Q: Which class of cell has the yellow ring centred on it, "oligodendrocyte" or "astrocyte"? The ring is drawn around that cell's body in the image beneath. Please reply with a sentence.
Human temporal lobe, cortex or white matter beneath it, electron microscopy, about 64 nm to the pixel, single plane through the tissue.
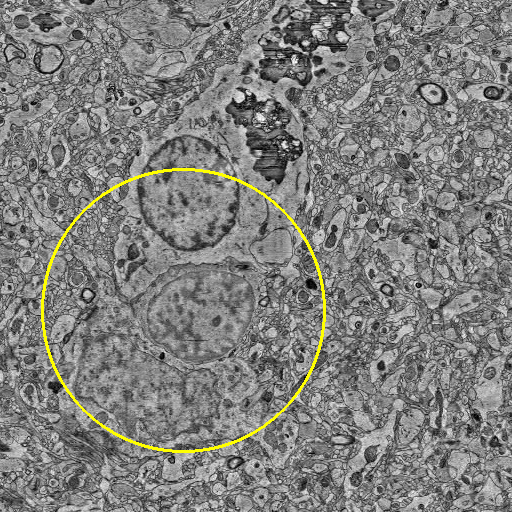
It is centred on an oligodendrocyte.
